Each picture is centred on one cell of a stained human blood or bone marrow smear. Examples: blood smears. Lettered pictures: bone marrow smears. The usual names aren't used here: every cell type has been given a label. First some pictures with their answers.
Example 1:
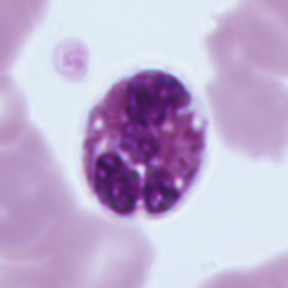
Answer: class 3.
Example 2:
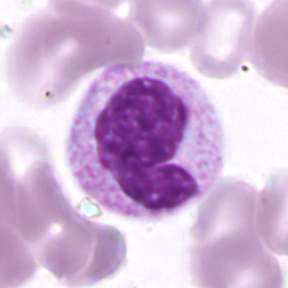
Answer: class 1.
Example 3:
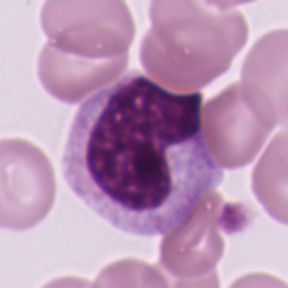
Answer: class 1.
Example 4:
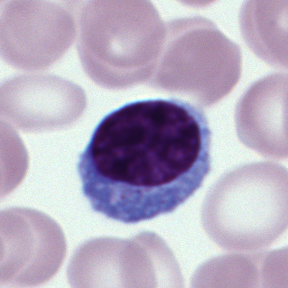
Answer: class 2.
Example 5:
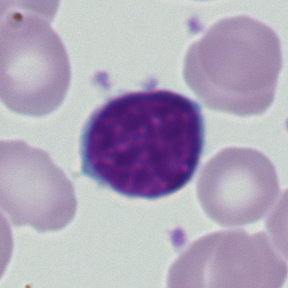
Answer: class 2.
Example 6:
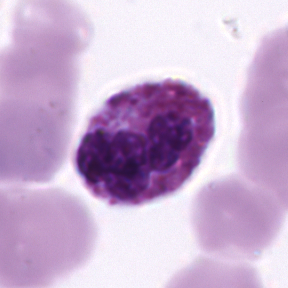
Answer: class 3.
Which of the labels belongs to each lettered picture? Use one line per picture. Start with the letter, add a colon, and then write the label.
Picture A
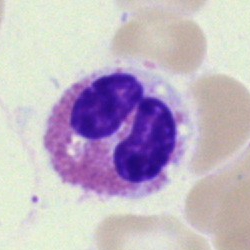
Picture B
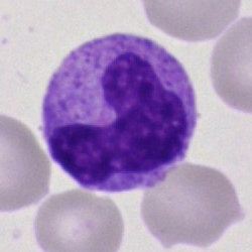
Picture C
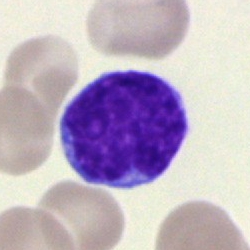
A: class 3.
B: class 1.
C: class 2.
